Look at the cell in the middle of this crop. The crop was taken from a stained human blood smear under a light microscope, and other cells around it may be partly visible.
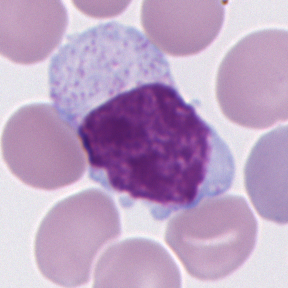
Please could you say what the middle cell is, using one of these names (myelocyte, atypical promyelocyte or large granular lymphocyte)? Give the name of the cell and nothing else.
large granular lymphocyte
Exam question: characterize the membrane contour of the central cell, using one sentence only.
The border of the cell is irregular, being either ragged or extended into projections.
